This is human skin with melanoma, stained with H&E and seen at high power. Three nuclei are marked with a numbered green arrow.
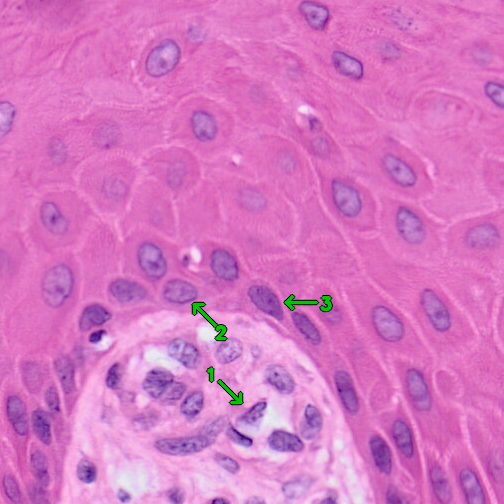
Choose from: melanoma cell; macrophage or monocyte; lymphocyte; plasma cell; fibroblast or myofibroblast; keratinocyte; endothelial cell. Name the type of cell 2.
keratinocyte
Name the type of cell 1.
endothelial cell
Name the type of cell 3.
keratinocyte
